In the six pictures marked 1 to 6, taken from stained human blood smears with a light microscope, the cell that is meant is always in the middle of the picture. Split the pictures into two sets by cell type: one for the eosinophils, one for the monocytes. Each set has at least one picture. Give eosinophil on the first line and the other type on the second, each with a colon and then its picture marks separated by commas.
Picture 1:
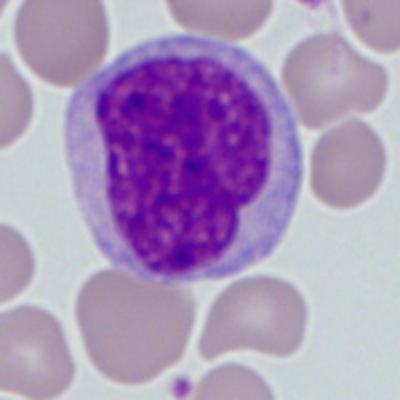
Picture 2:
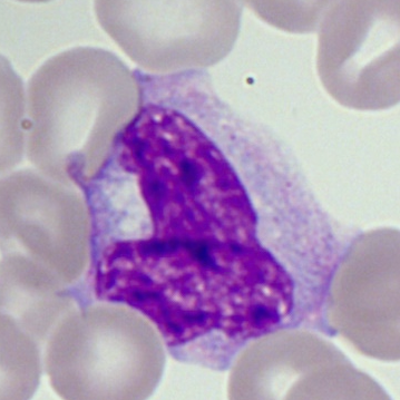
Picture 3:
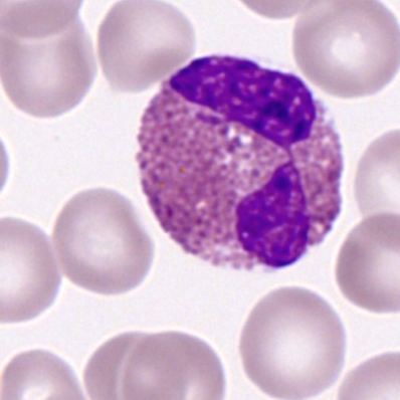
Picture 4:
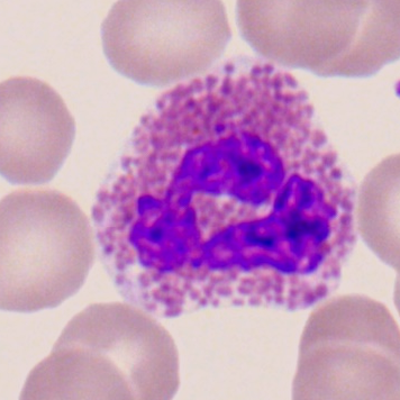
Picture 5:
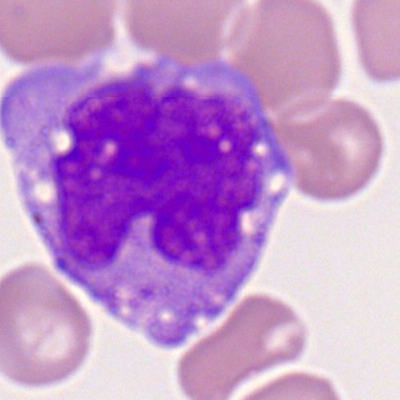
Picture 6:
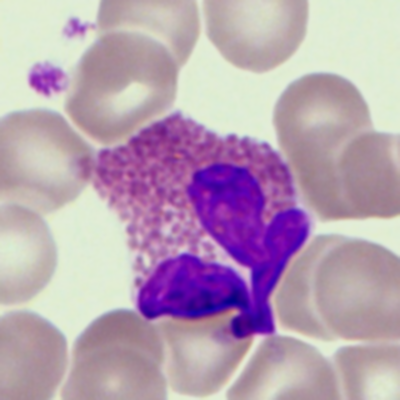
eosinophil: 3, 4, 6
monocyte: 1, 2, 5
